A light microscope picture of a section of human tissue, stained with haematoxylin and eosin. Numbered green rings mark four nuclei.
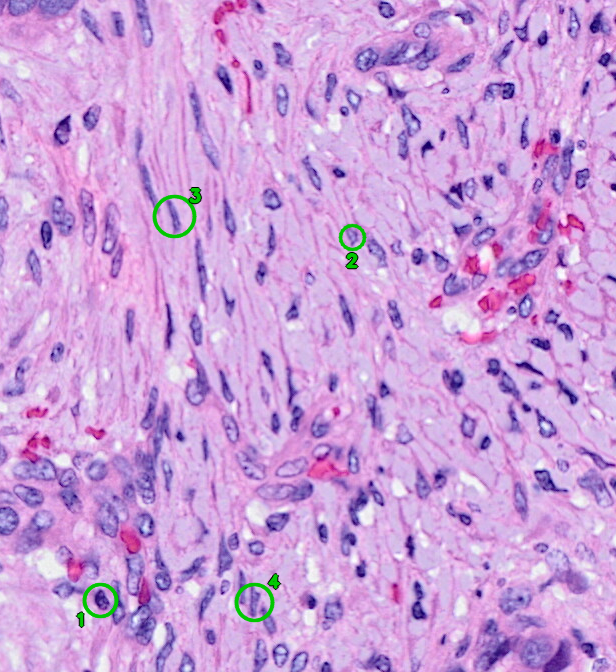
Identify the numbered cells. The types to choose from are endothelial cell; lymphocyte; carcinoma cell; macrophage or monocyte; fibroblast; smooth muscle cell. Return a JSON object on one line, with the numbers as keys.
{"1": "lymphocyte", "2": "fibroblast", "3": "fibroblast", "4": "fibroblast"}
